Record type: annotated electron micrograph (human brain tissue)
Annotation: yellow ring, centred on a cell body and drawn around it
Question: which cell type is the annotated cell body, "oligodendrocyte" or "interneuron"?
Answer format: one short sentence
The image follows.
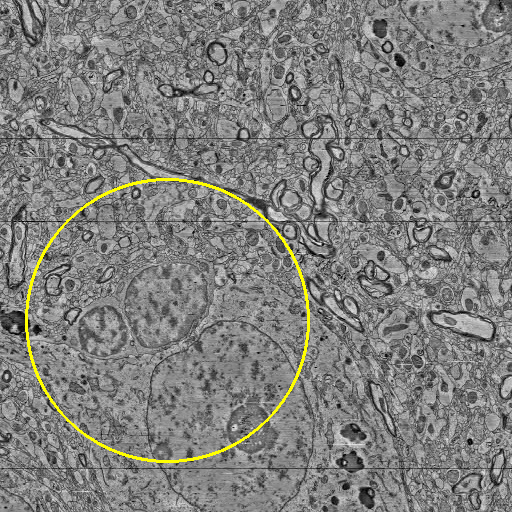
The annotated cell body is that of an oligodendrocyte.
